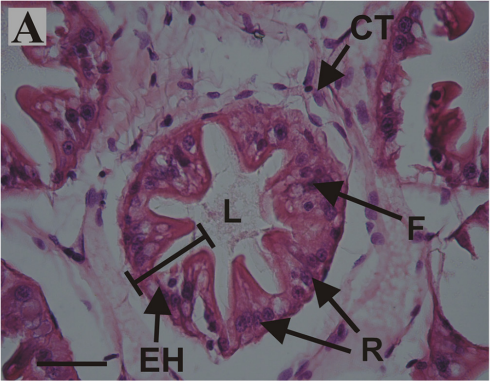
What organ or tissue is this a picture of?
midgut gland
